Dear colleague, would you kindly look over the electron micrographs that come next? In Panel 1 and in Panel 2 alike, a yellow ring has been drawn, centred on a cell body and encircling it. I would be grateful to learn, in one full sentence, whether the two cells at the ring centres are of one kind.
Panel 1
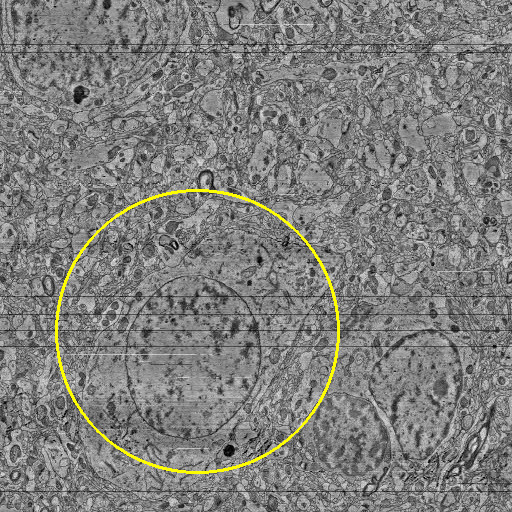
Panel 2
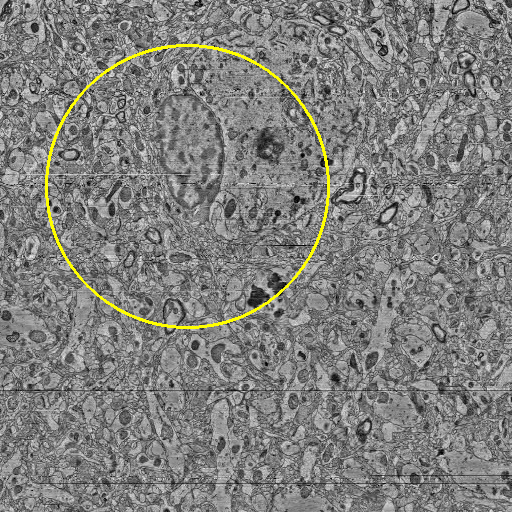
No, the cells in the middle of the rings in the two panels are of two kinds.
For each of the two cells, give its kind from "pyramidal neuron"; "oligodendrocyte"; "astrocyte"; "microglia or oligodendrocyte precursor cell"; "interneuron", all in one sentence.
The first picture has a pyramidal neuron in its ring, the second has an oligodendrocyte.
